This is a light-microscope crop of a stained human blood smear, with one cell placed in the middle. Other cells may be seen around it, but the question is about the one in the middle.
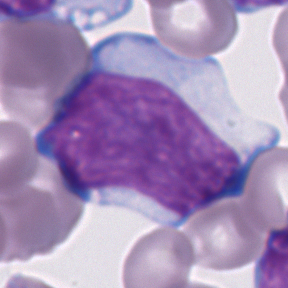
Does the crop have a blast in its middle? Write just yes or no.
yes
